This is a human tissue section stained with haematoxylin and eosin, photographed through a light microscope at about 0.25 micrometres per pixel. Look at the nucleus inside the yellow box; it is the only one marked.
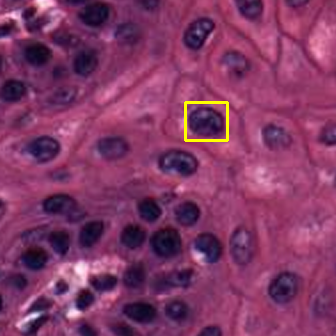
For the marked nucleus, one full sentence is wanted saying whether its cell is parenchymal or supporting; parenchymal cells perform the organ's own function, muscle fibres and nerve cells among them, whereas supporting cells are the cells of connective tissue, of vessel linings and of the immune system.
The marked nucleus is the nucleus of a squamous epithelial cell, a cell of the parenchyma.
